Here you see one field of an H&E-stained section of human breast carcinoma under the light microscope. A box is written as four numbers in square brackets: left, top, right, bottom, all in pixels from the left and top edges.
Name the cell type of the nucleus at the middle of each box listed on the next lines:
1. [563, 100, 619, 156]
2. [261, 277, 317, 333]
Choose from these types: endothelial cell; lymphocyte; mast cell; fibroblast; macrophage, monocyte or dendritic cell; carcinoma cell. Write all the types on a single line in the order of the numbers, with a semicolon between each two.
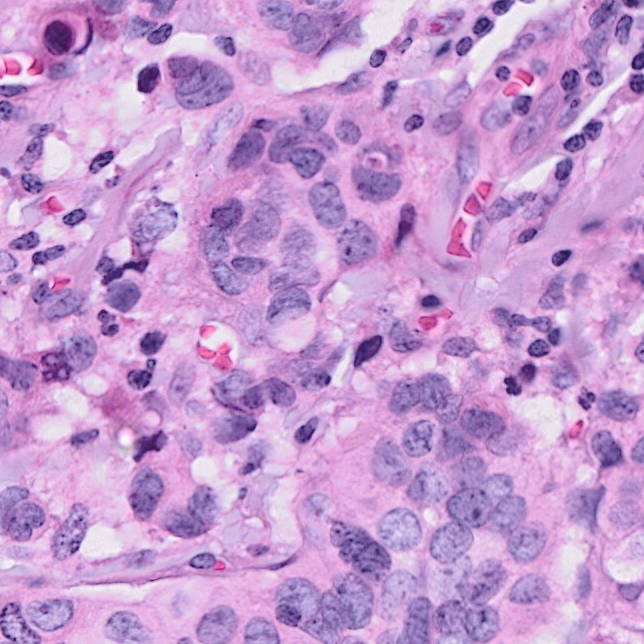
lymphocyte; carcinoma cell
